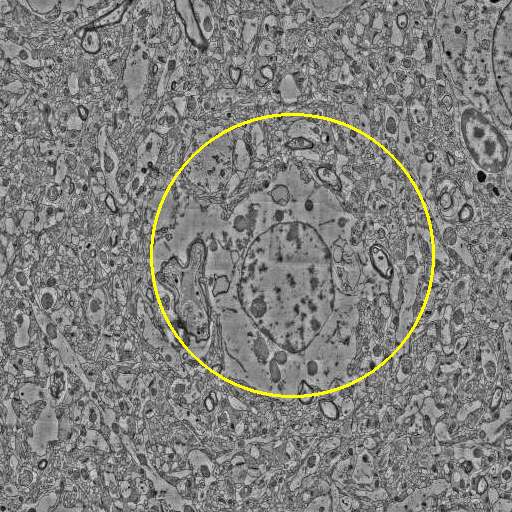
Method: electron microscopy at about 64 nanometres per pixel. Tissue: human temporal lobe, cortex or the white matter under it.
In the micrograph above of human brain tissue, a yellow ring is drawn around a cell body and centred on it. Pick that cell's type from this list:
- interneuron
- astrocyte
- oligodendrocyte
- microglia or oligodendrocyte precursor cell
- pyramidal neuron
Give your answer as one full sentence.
Going by the list, an astrocyte is the cell on which the yellow ring is centred.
